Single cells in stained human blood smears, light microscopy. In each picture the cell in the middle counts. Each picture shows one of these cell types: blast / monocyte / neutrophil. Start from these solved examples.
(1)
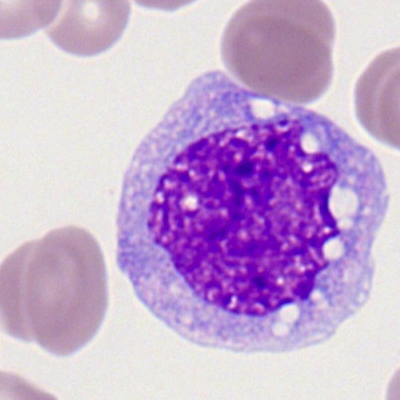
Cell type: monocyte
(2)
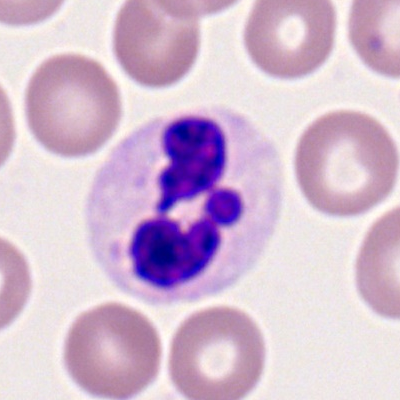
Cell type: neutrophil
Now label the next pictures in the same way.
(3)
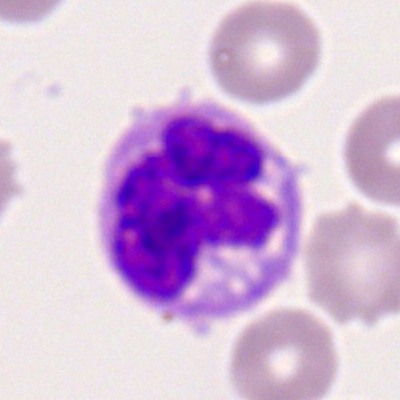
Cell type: monocyte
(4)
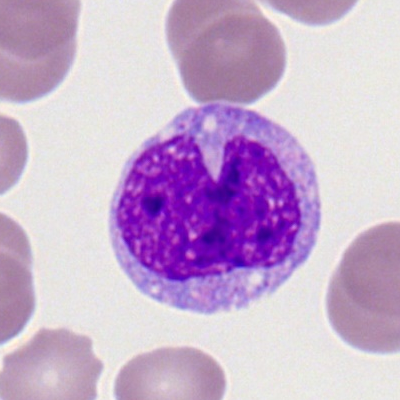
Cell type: monocyte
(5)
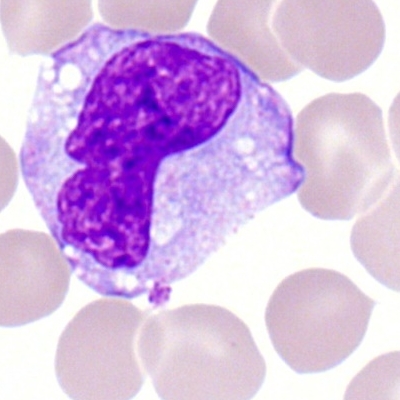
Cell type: monocyte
